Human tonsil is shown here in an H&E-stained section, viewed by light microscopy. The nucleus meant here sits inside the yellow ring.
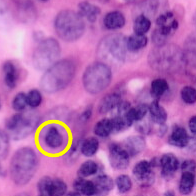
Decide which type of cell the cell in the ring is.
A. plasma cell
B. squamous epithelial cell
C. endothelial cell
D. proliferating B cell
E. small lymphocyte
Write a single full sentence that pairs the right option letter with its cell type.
Option C gives the correct identity of the cell in the ring, which is an endothelial cell.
